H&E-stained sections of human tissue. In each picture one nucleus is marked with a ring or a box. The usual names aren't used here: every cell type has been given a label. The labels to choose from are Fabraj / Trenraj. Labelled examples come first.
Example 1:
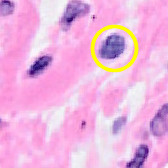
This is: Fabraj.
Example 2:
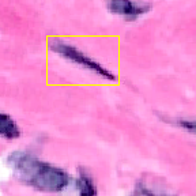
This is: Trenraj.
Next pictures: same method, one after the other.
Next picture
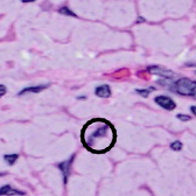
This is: Trenraj.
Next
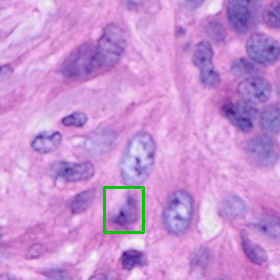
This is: Trenraj.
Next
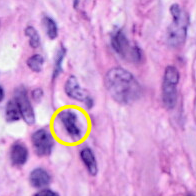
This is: Fabraj.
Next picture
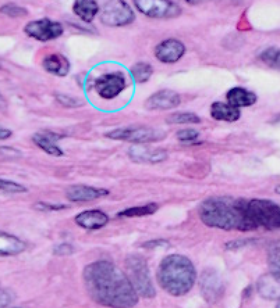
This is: Fabraj.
